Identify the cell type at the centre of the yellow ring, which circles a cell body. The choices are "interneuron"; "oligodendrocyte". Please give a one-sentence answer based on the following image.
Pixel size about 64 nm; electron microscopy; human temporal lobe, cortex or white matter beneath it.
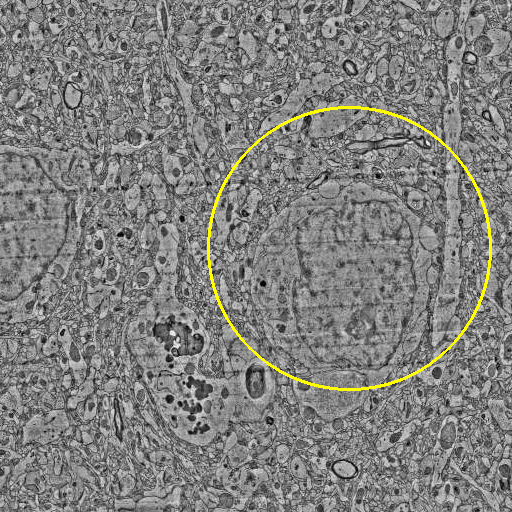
The cell marked by the ring is an interneuron.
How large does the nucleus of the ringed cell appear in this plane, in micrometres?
The nucleus is approximately 11 micrometers long by 9 micrometers wide in this plane.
